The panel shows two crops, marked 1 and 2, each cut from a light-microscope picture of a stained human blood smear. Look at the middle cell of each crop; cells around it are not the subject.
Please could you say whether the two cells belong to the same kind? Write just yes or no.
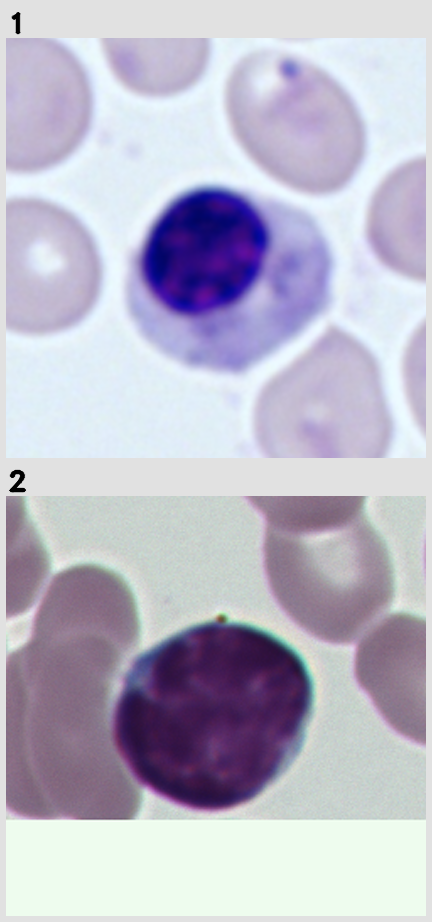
no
